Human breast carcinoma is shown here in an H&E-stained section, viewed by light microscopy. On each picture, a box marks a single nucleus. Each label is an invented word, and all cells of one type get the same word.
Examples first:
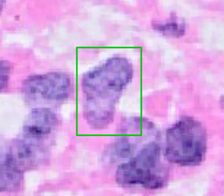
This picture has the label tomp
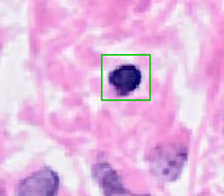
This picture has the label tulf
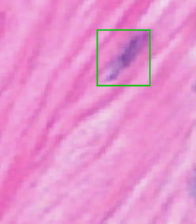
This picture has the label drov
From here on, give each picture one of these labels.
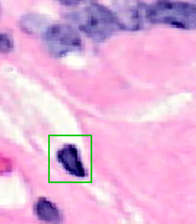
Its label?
tulf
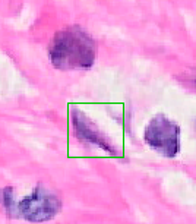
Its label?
drov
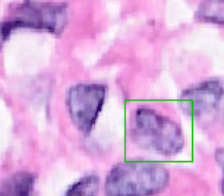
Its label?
tomp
